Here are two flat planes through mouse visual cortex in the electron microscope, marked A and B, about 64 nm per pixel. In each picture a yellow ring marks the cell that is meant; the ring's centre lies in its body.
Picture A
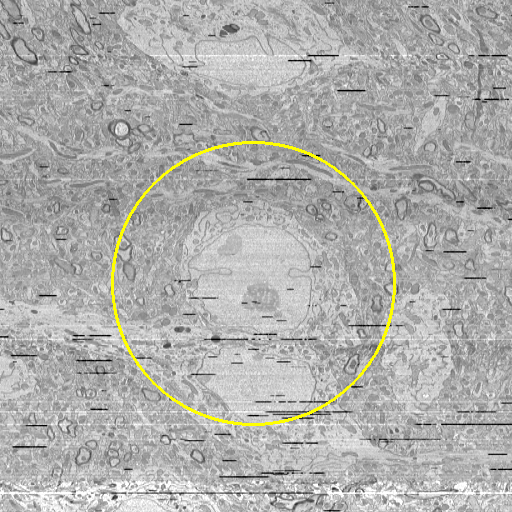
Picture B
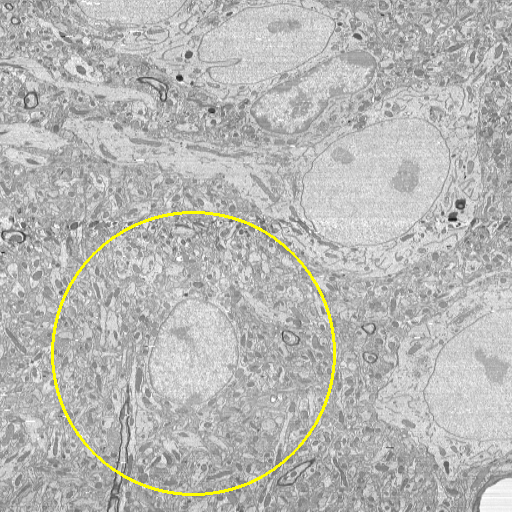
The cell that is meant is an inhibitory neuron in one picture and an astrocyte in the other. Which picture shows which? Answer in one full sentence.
In picture A the cell is an inhibitory neuron; in picture B, an astrocyte.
